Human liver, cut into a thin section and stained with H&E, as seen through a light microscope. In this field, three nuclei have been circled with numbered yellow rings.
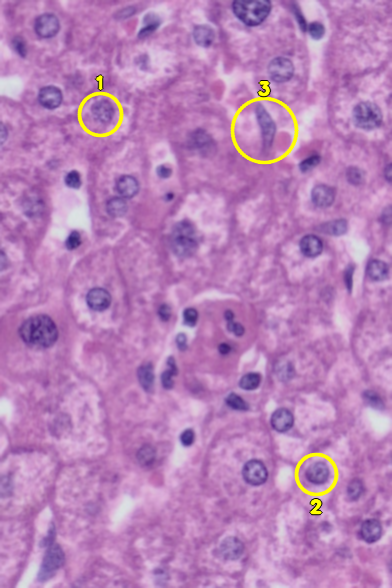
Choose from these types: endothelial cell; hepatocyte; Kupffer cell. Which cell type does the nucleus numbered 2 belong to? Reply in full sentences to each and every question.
In this section, the cell tagged 2 is a hepatocyte.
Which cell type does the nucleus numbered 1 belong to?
As for number 1, that cell is a hepatocyte.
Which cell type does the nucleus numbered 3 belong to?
Belonging to a Kupffer cell is the nucleus that carries the number 3.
